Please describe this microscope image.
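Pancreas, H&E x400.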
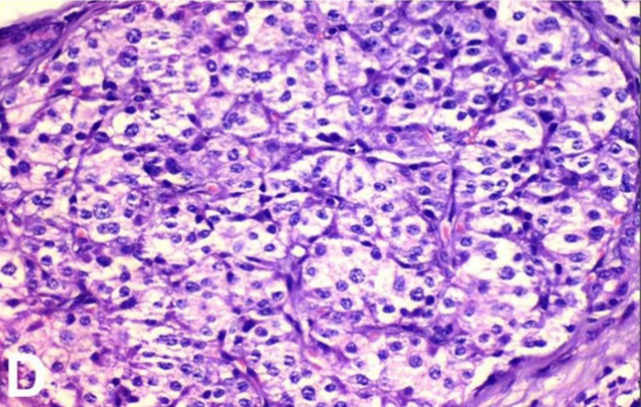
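Enlarged islet cells fill the field, grouped in small nests outlined by thin pink fibrovascular strands. The cells are polygonal with distinct borders and abundant clear, pale cytoplasm. Each cell holds a single round to oval nucleus, mildly enlarged, some with irregular outlines and visible chromatin. A band of pink fibrous tissue runs along the right edge of the field.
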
